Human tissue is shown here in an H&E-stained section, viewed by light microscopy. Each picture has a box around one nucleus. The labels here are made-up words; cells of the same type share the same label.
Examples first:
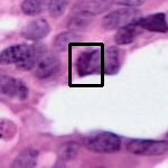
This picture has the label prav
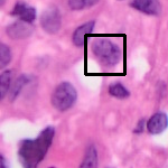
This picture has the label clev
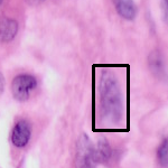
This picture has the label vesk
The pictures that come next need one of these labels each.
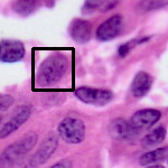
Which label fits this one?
prav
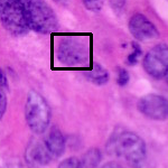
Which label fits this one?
prav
